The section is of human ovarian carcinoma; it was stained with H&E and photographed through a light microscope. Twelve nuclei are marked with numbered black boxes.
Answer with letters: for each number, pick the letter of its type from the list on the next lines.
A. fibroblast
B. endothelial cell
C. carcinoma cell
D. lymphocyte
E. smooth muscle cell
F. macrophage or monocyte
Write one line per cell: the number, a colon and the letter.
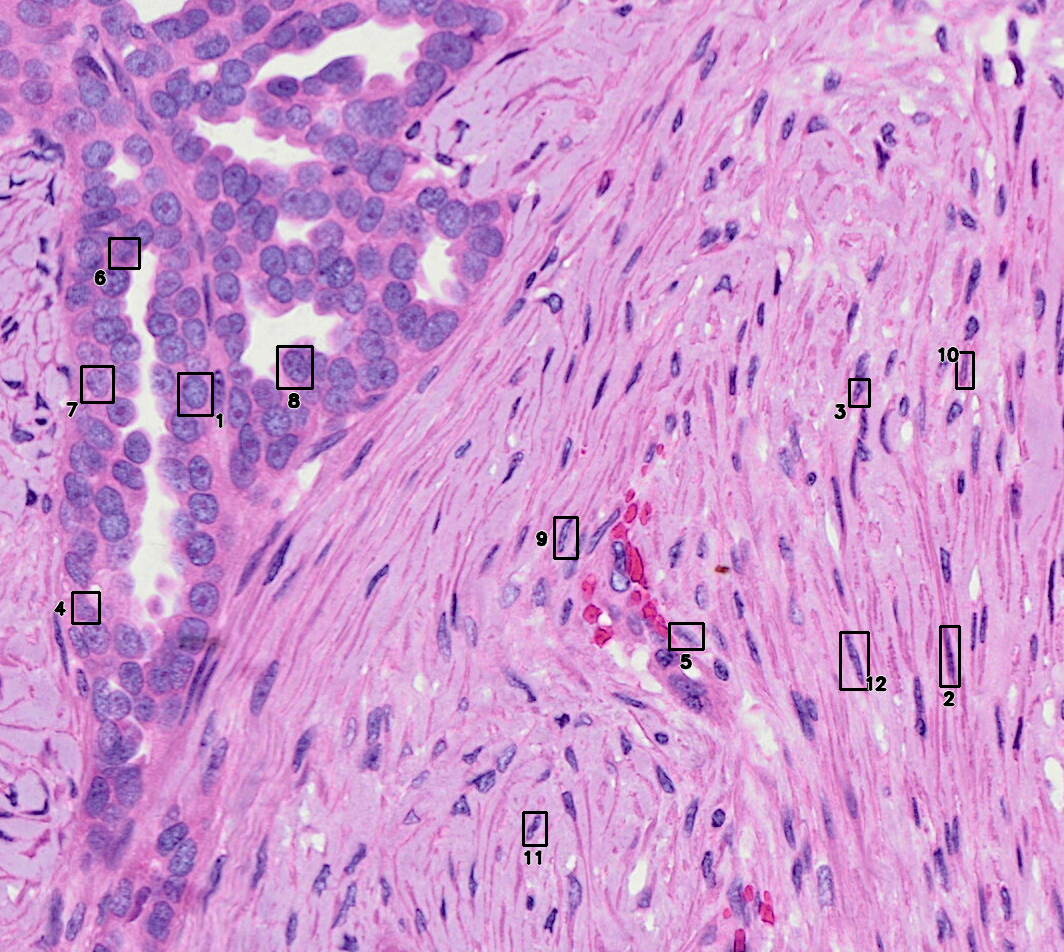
1: C
2: A
3: A
4: C
5: A
6: C
7: C
8: C
9: A
10: A
11: A
12: A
